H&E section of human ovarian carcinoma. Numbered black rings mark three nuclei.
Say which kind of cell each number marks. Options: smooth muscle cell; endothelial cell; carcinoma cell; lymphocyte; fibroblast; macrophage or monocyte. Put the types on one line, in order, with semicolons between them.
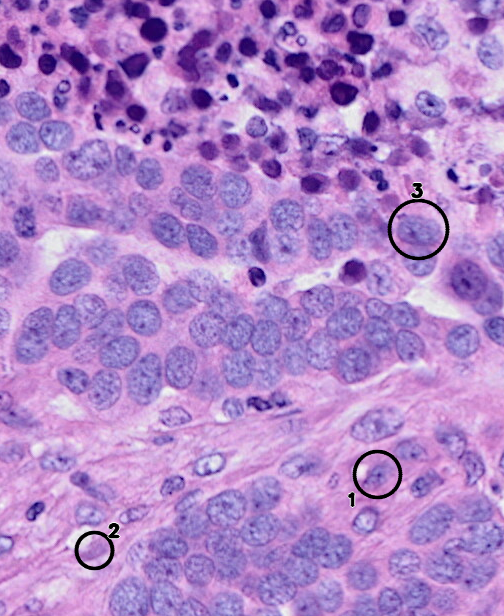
endothelial cell; fibroblast; carcinoma cell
